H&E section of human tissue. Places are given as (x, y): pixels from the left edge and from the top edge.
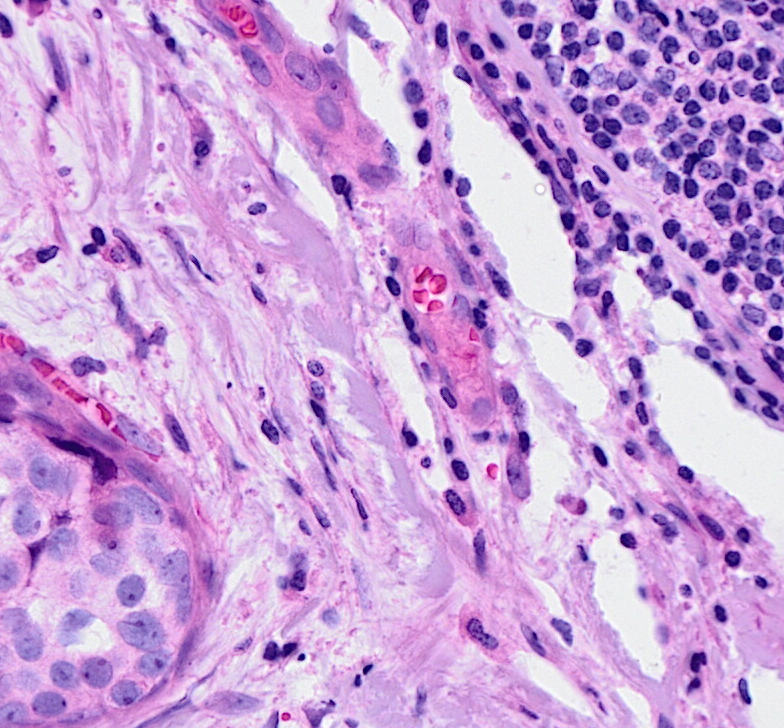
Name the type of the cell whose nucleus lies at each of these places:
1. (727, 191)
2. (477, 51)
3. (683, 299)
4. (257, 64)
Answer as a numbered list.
1. lymphocyte
2. lymphocyte
3. lymphocyte
4. endothelial cell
